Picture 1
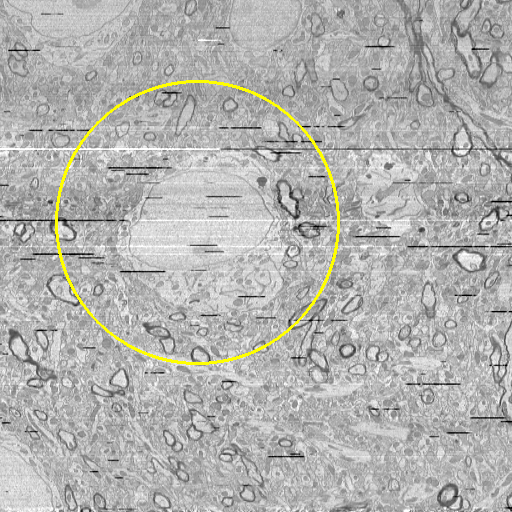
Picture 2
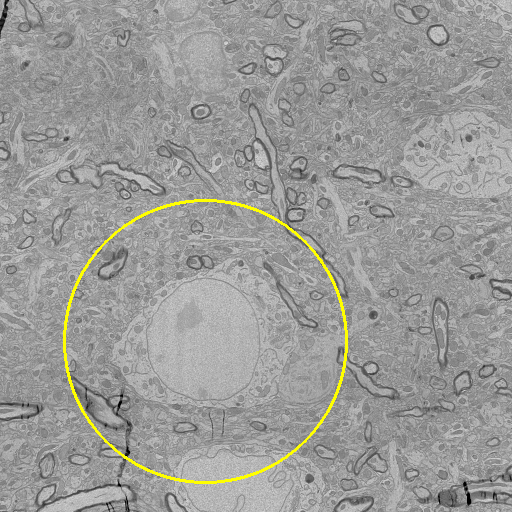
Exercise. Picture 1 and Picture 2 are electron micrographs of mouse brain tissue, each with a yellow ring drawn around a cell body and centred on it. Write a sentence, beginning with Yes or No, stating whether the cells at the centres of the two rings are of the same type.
Yes, the cells at the centres of both rings are of the same type.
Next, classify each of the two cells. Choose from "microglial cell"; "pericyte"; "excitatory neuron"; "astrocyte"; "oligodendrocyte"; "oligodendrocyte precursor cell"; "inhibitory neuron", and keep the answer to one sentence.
Both cells are the same kind, each one being an excitatory neuron.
